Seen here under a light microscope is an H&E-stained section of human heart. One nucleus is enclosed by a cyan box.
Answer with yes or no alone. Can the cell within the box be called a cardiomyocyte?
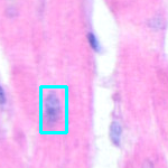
yes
